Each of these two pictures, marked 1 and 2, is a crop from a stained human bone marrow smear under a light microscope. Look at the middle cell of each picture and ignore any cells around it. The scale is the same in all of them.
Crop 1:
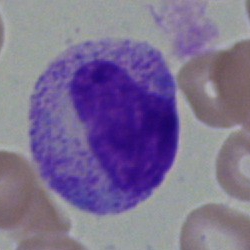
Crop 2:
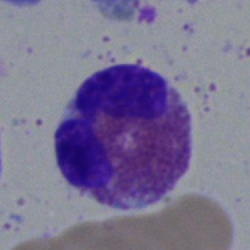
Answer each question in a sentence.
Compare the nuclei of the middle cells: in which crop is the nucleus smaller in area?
It is the nucleus in crop 2; the one in crop 1 has about 1.5 times its area.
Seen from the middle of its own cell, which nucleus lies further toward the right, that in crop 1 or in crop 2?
In crop 1 the nucleus is shifted more toward the right.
